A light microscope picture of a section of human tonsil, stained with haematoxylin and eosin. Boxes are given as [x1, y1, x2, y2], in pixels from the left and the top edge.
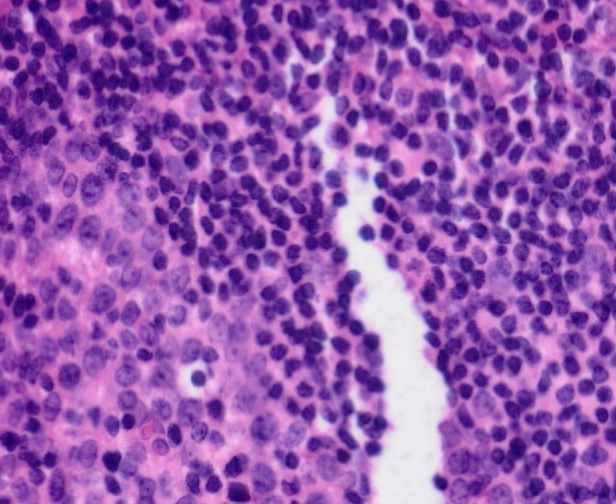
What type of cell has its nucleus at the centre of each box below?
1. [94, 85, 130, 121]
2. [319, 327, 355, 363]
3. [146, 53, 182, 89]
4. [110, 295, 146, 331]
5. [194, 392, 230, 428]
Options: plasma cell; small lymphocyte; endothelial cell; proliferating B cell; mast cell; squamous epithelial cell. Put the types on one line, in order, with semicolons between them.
small lymphocyte; small lymphocyte; small lymphocyte; proliferating B cell; proliferating B cell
